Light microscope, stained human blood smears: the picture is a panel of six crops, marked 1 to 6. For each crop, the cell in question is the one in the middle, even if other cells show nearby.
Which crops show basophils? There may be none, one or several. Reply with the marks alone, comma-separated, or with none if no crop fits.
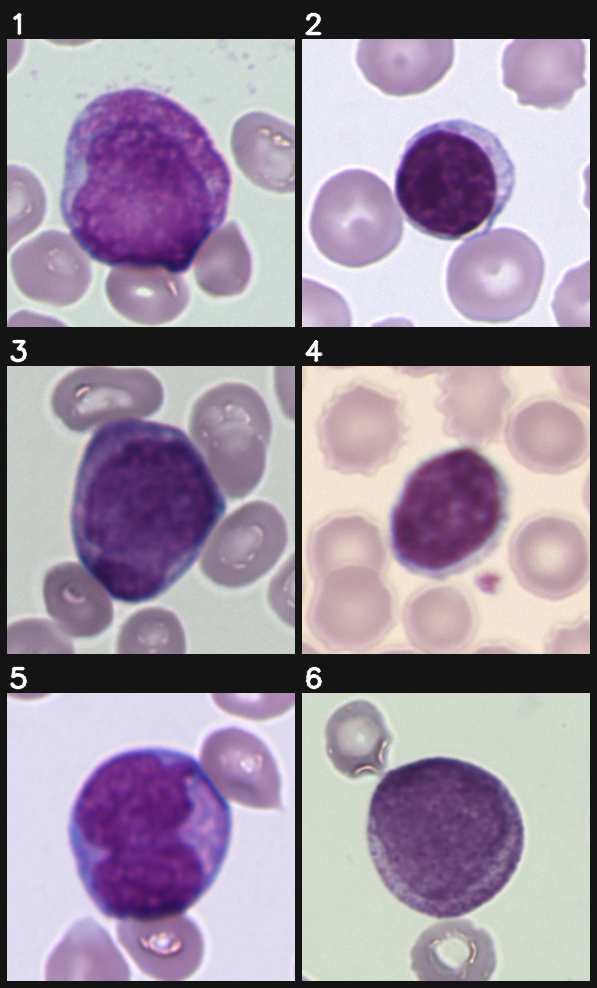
none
